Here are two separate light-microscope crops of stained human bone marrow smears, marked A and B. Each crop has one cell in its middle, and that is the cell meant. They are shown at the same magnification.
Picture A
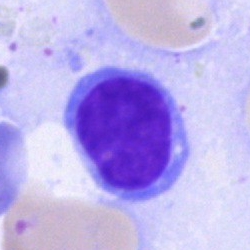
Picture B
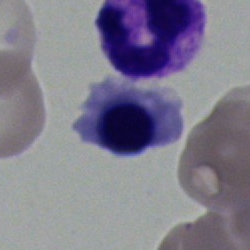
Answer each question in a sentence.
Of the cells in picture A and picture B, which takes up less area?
The cell in picture B is smaller; the one in picture A has about 2 times its area.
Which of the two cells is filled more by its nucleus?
Of the two, the nucleus in picture A makes up the greater part of its cell.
